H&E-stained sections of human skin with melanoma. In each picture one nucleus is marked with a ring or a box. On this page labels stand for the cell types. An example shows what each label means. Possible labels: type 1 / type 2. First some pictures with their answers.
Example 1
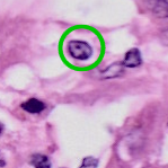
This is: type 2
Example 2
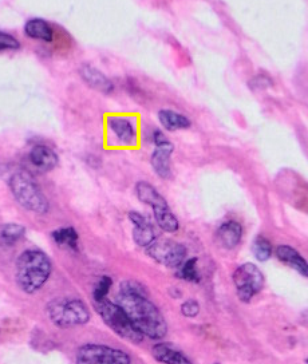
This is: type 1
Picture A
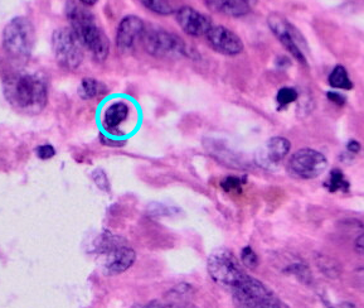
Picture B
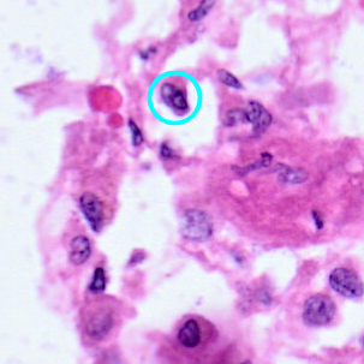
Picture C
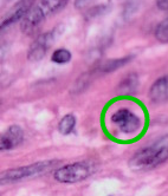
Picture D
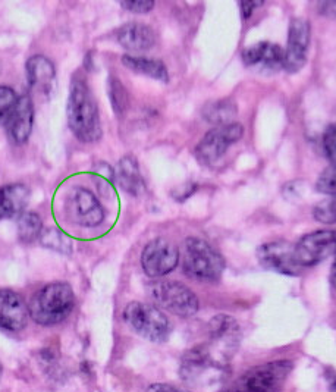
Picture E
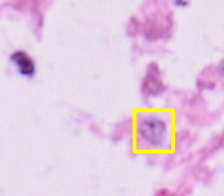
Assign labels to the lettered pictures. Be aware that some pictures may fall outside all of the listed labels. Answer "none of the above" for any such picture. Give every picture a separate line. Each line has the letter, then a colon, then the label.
A: type 2
B: type 1
C: type 2
D: none of the above
E: type 1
